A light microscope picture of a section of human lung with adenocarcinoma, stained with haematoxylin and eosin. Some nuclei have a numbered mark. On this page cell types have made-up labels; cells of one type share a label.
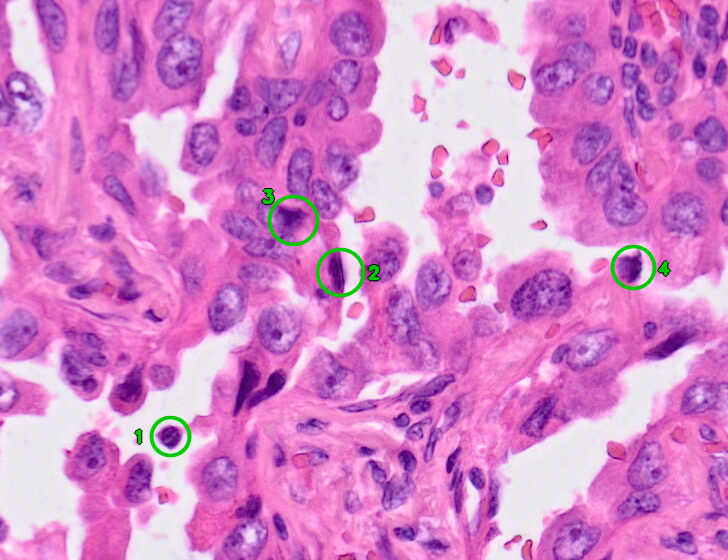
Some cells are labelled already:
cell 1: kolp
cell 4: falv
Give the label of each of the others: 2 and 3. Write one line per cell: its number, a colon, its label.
2: falv
3: falv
